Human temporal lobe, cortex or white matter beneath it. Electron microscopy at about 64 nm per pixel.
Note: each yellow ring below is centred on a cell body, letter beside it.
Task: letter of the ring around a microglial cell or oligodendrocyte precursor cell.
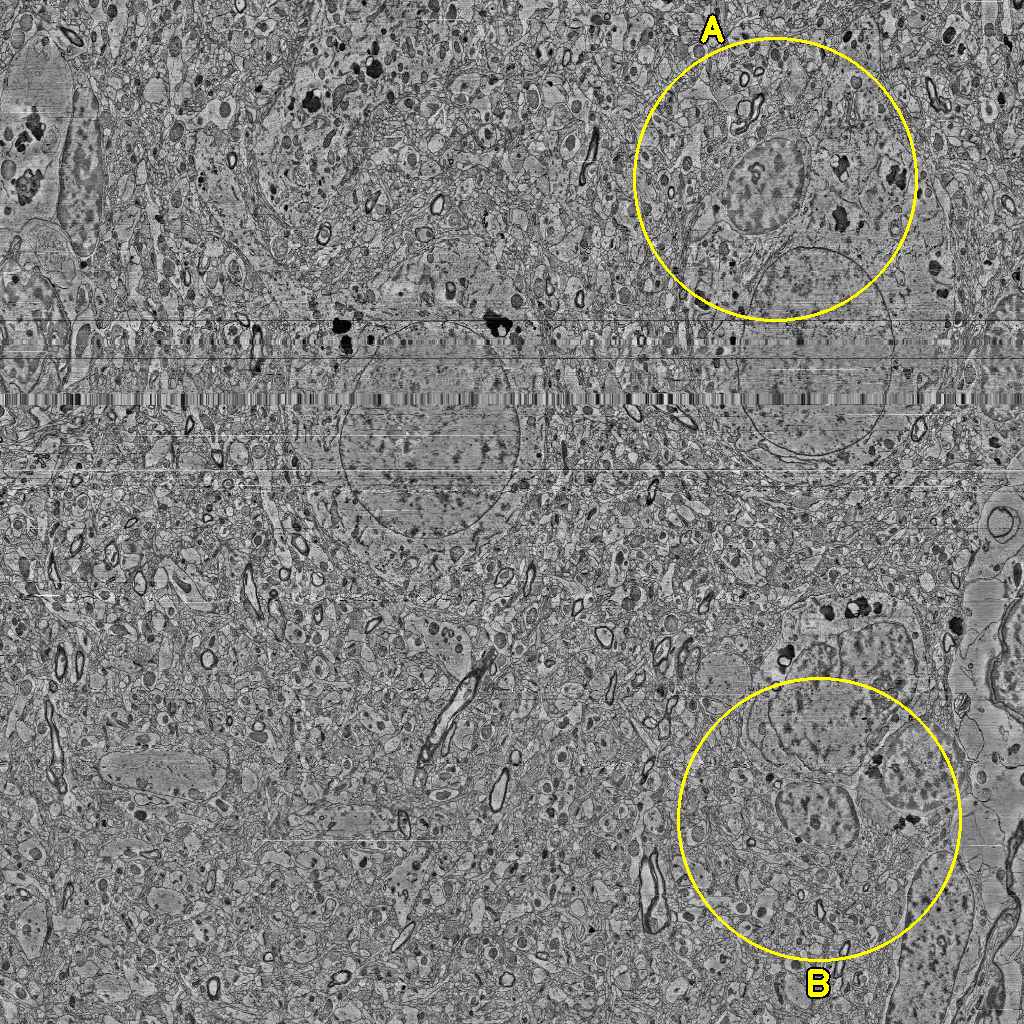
B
